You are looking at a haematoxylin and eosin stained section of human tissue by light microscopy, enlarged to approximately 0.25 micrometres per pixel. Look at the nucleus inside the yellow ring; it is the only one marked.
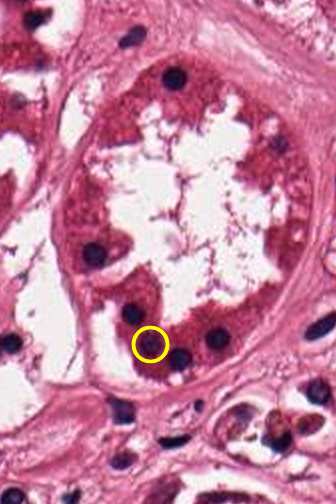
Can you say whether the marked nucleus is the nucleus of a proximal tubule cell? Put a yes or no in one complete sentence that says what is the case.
Yes, the cell that holds the marked nucleus is a proximal tubule cell.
